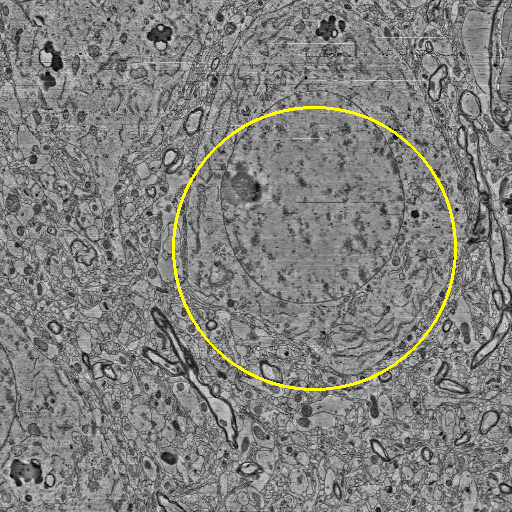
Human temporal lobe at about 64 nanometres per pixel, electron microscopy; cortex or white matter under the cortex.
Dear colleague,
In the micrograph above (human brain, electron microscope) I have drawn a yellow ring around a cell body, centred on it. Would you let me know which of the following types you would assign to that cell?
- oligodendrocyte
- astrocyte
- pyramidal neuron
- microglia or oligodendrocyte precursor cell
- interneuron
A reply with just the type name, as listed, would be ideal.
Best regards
pyramidal neuron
